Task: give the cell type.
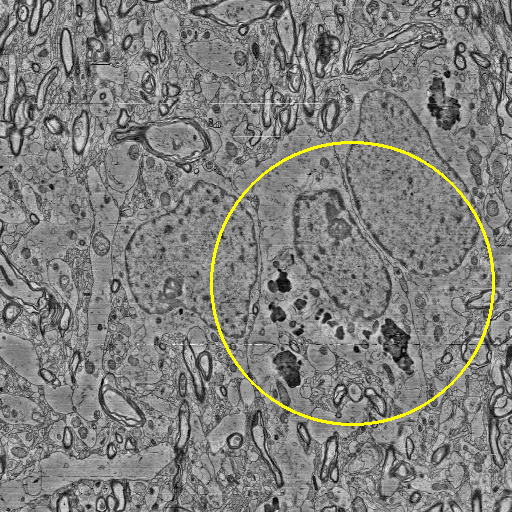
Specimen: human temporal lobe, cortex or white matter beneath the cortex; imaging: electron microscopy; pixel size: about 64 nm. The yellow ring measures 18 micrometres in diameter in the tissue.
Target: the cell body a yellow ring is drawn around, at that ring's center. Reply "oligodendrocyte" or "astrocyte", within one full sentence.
In this picture, the cell whose body lies at the ring's center is an astrocyte.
